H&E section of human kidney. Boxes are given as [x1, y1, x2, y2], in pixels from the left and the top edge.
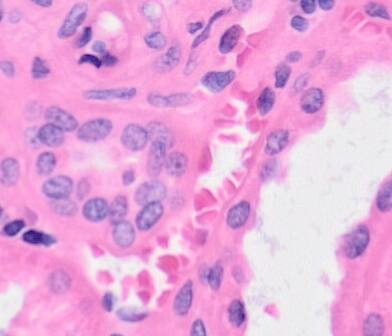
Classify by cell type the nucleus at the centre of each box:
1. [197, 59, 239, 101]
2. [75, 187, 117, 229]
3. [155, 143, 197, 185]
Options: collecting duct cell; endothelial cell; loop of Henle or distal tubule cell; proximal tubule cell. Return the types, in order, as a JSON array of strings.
["endothelial cell", "collecting duct cell", "collecting duct cell"]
